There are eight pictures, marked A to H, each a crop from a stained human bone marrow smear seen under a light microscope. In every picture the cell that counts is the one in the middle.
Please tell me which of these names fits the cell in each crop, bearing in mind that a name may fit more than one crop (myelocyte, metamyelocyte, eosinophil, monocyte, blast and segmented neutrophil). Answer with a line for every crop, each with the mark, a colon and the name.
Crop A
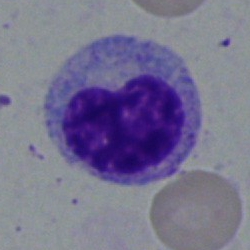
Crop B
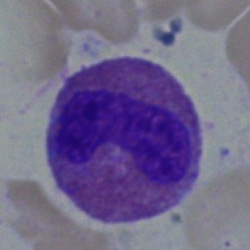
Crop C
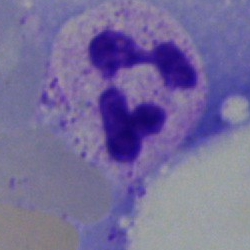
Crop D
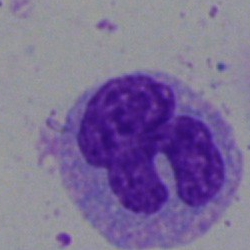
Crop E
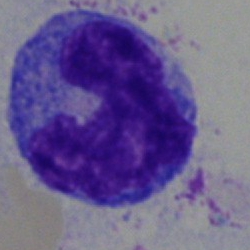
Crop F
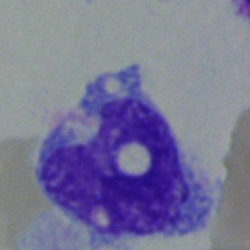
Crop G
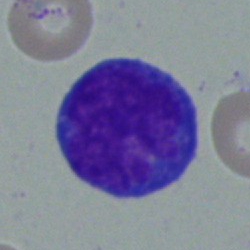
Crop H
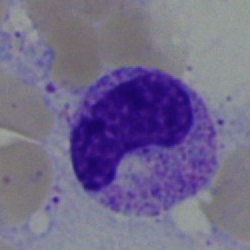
A: metamyelocyte
B: eosinophil
C: segmented neutrophil
D: monocyte
E: monocyte
F: monocyte
G: blast
H: metamyelocyte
